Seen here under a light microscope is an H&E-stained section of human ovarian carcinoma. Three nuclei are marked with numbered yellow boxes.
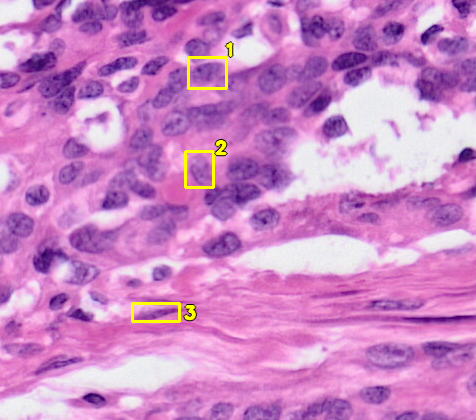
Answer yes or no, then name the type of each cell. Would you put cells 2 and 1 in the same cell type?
Yes, the two cells marked 2 and 1 are both carcinoma cells.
